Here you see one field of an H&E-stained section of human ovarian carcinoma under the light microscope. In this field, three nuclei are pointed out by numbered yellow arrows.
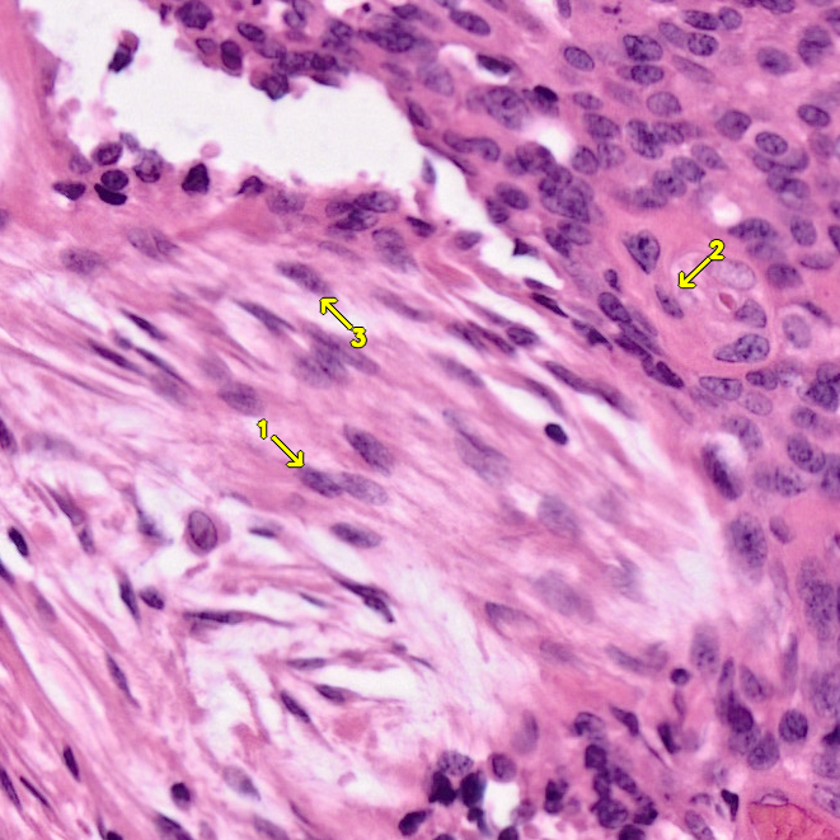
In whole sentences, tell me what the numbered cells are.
Cells 1 and 3 are fibroblasts. Cell 2 is an endothelial cell.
